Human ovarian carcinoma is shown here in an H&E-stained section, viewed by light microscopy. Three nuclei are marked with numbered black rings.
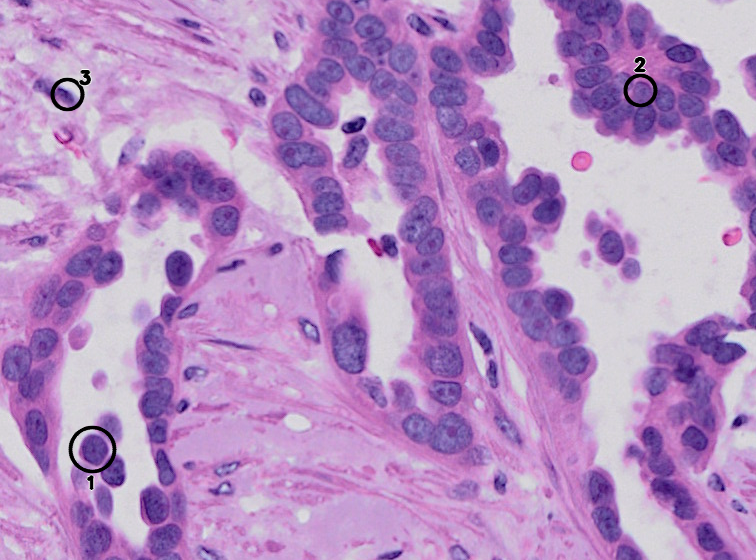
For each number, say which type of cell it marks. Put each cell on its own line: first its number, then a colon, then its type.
1: carcinoma cell
2: carcinoma cell
3: fibroblast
